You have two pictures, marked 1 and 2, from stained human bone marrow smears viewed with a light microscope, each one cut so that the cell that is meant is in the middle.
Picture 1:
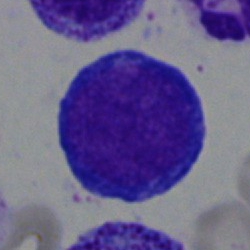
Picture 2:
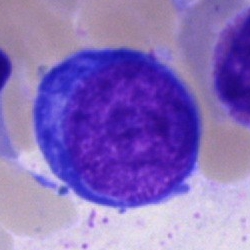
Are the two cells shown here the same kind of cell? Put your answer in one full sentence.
Yes, both cells are proerythroblasts.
